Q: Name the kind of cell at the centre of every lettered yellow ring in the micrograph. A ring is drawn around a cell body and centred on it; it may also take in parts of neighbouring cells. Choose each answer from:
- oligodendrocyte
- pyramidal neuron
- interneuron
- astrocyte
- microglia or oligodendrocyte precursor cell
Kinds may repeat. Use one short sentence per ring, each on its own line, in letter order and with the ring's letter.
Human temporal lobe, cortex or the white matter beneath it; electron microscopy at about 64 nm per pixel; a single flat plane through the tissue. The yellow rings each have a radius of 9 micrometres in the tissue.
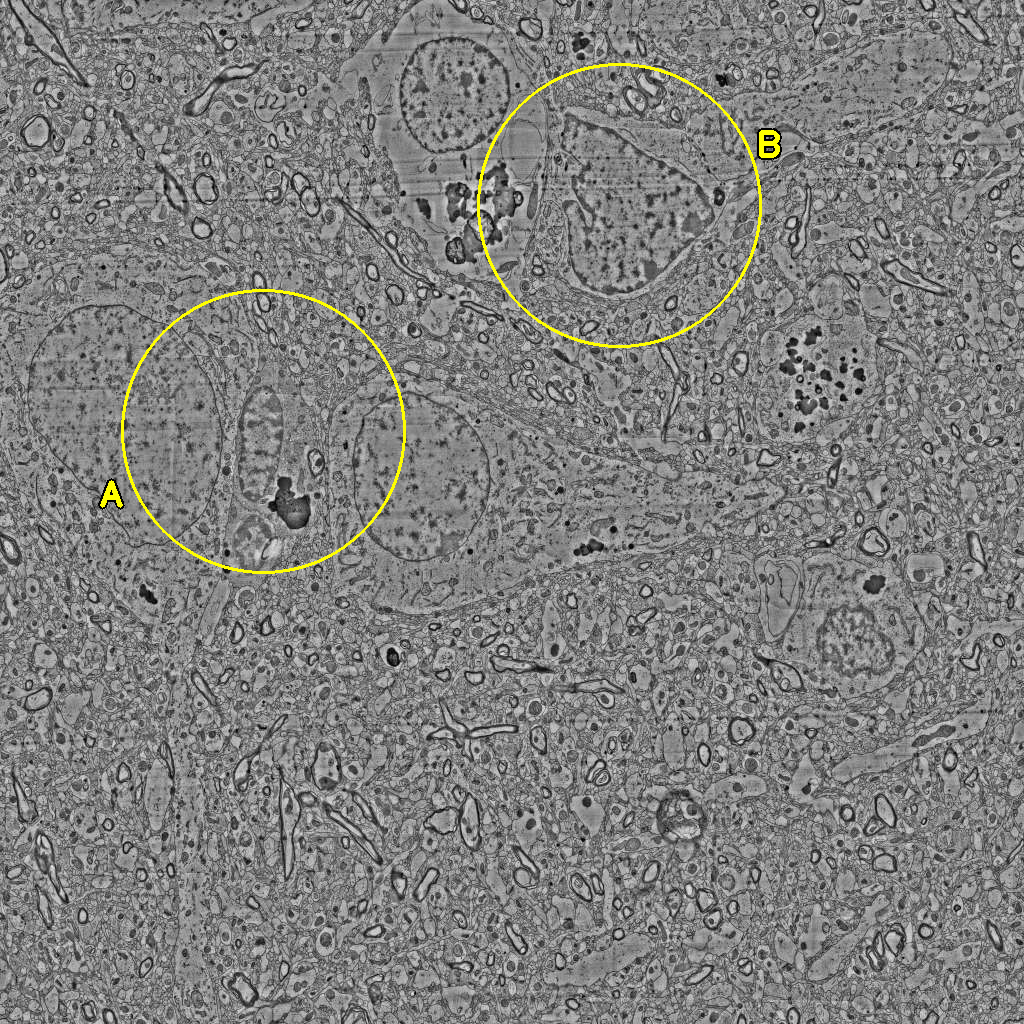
Ring A is placed around an oligodendrocyte.
Ring B is placed around a microglial cell or oligodendrocyte precursor cell.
